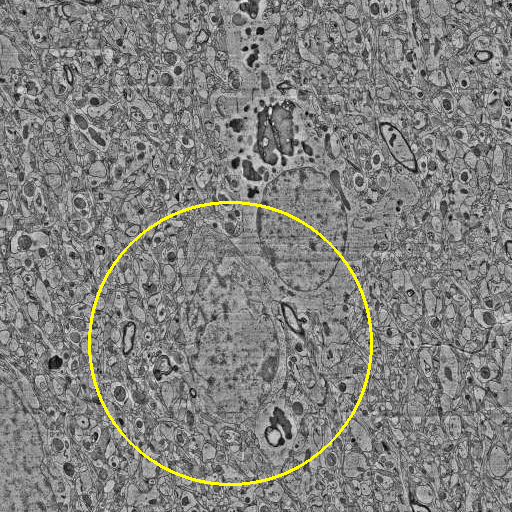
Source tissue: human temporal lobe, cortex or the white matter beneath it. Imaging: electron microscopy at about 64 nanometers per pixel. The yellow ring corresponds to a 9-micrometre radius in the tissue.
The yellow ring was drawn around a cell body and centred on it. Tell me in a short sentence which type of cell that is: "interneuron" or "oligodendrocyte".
The cell at the ring's centre is an interneuron.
